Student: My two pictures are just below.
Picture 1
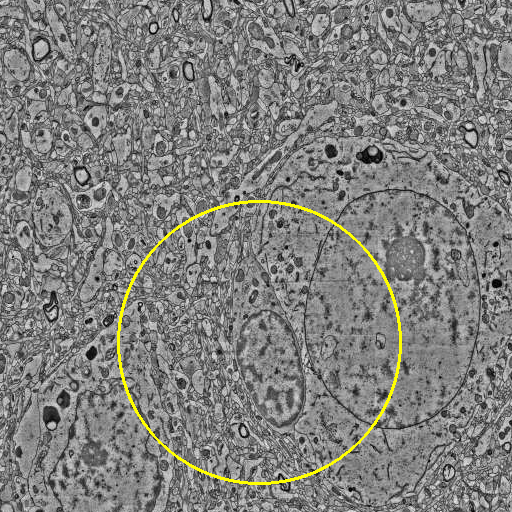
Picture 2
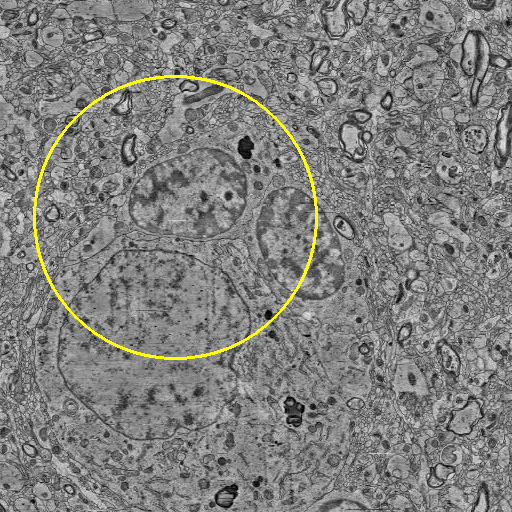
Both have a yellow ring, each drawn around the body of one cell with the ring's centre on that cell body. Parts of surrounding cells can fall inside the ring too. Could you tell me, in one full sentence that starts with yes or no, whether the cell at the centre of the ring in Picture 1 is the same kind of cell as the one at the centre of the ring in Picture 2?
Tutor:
Yes, the two cells are of the same kind.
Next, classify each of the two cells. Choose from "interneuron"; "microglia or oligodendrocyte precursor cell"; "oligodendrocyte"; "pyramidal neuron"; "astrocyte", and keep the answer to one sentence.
The cell in the first picture is an oligodendrocyte, and so is the one in the second.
